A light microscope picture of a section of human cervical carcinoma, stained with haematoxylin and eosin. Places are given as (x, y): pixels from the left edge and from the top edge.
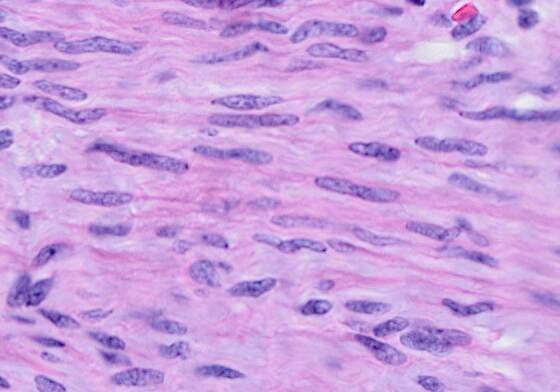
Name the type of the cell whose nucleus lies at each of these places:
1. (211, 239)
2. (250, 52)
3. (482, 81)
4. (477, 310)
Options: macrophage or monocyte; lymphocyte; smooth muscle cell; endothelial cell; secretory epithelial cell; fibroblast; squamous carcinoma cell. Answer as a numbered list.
1. smooth muscle cell
2. smooth muscle cell
3. fibroblast
4. smooth muscle cell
